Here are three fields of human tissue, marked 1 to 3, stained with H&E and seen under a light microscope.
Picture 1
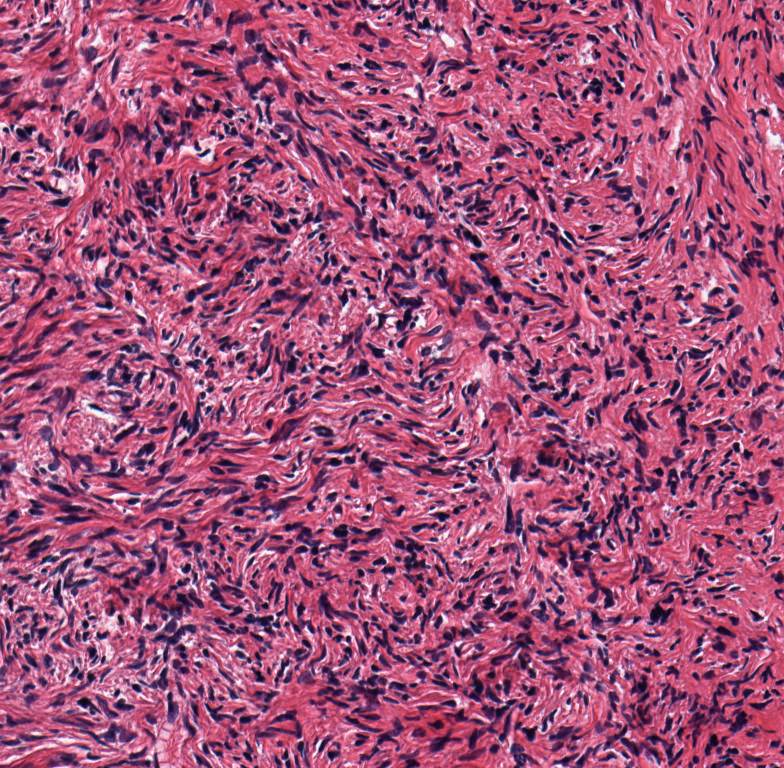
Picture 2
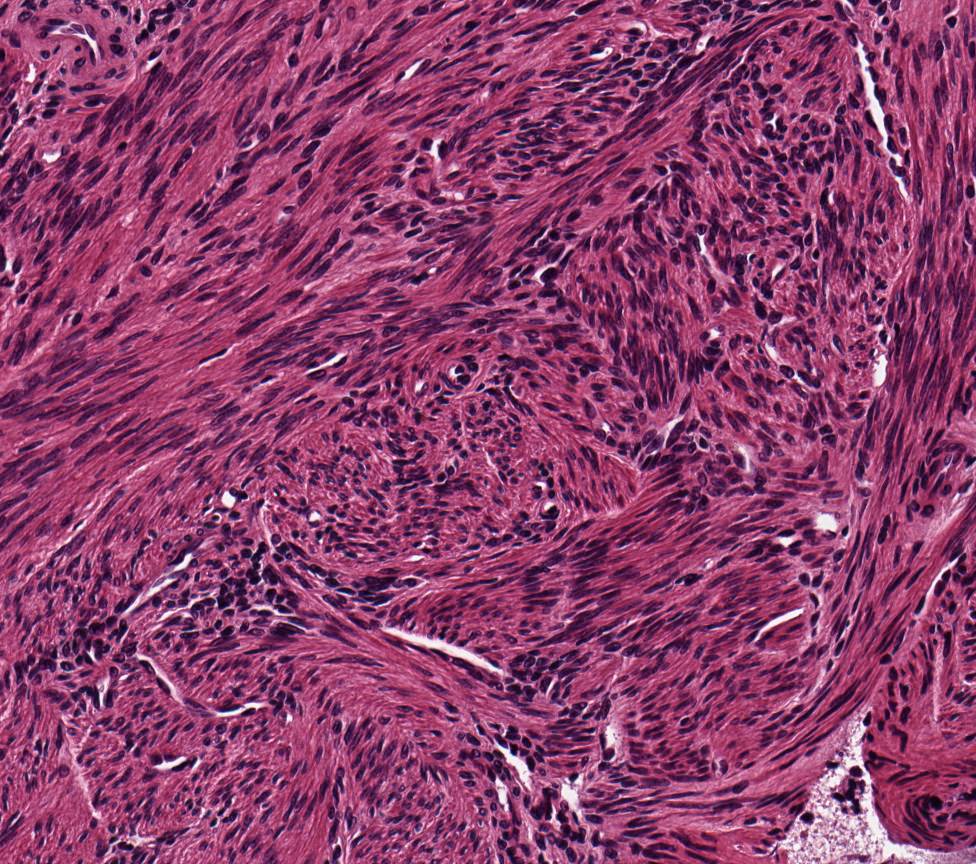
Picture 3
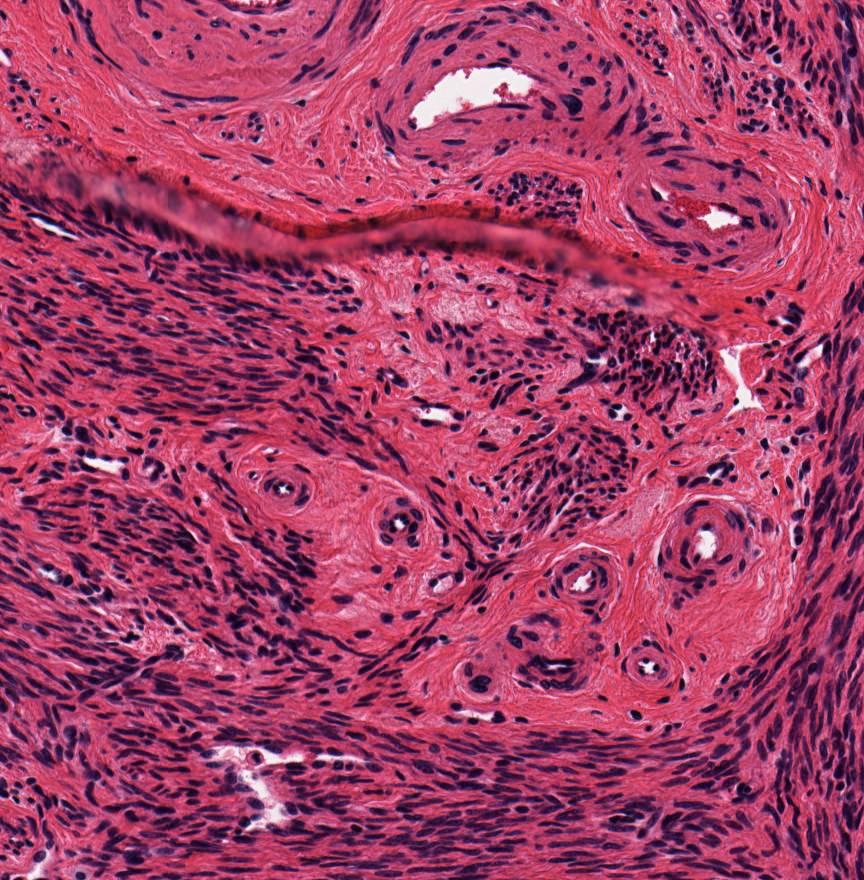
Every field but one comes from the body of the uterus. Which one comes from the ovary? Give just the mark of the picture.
1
